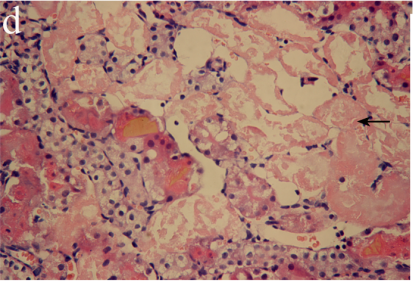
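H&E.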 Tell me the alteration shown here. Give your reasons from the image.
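Large patchy necrosis. A large area of pale pink tubule outlines lacks nuclei.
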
